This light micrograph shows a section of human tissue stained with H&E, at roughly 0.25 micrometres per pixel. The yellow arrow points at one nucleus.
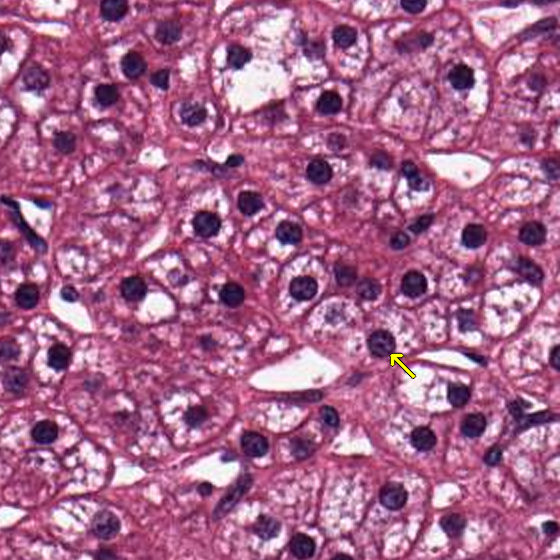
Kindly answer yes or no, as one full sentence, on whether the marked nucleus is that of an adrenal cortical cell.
Yes, an adrenal cortical cell contains the marked nucleus.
